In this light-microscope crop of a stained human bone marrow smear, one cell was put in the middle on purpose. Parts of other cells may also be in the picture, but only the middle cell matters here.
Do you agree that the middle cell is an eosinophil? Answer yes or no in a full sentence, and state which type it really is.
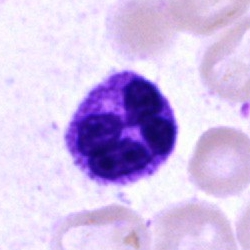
No, the centrally located cell is a neutrophil rather than an eosinophil.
